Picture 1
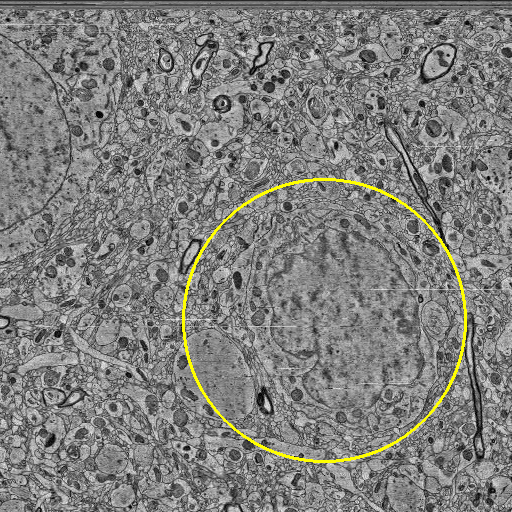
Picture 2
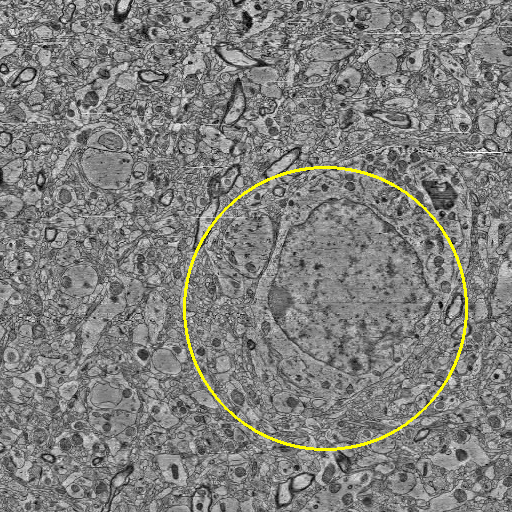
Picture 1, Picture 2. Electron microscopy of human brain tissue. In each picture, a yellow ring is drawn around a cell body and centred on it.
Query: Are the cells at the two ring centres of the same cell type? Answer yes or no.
yes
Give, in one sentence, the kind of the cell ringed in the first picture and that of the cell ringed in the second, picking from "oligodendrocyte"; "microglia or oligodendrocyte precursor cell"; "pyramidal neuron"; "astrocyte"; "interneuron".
Both the first and the second picture show an interneuron in the ring.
